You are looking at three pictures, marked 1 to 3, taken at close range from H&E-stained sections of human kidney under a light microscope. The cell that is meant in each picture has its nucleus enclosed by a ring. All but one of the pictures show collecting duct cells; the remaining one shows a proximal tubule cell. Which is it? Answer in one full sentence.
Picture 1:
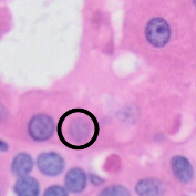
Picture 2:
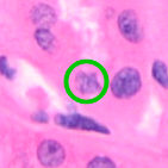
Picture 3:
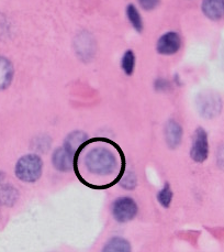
The proximal tubule cell is the one in picture 1.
